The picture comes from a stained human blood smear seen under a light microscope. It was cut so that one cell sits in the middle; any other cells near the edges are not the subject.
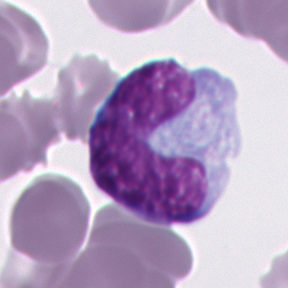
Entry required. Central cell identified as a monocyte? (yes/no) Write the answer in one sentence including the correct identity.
Yes, a monocyte is what the central cell is.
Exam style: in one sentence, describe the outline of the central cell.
A smooth outline is absent here, replaced by ragged stretches or projections.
